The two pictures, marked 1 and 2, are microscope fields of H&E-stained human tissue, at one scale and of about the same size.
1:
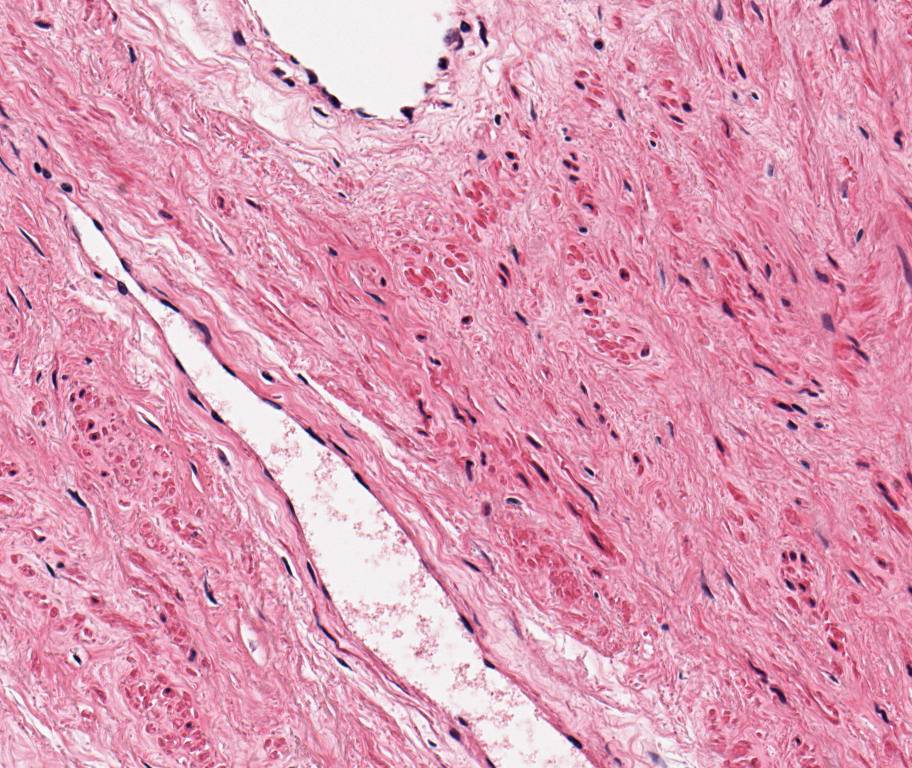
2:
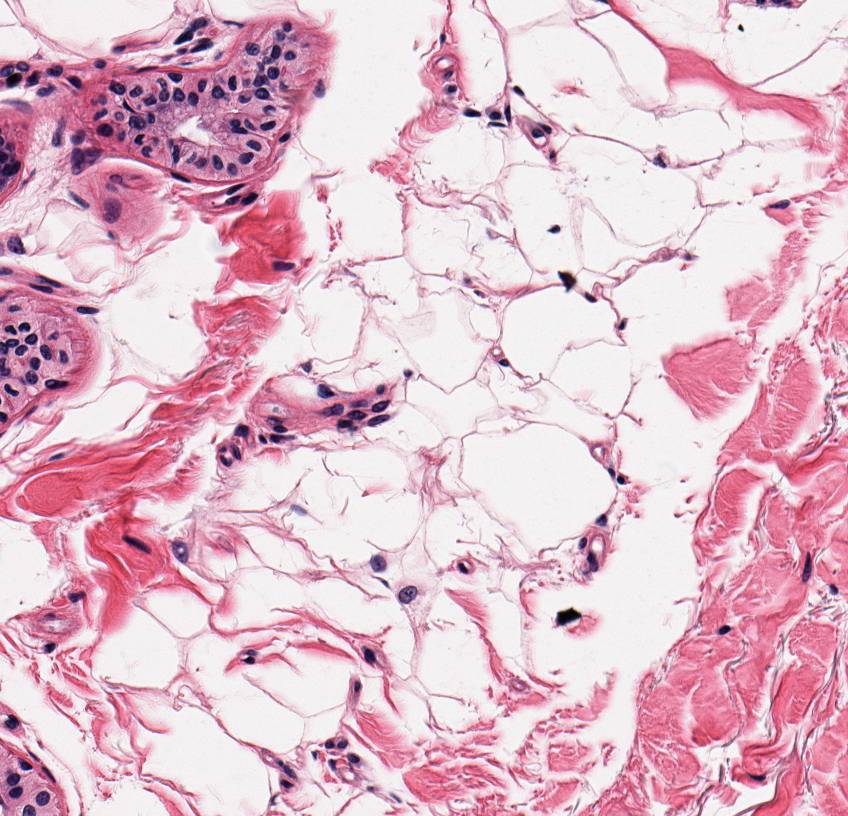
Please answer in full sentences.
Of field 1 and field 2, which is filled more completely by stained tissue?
It is field 1 that stained tissue fills more completely.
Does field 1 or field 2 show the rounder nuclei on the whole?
Rounder nuclei lie in field 2.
